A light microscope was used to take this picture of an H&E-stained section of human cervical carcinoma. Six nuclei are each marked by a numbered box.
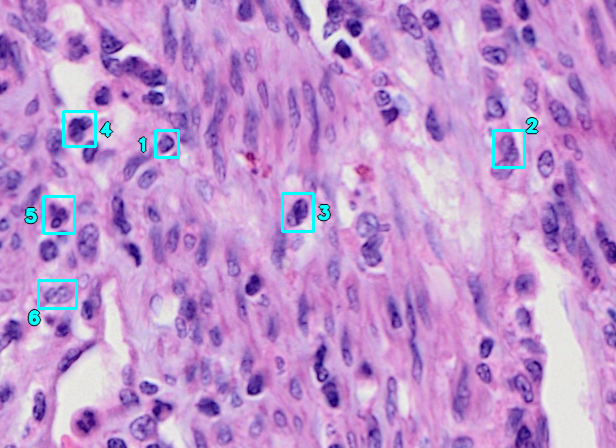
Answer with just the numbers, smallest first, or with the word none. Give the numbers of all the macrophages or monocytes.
2, 6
